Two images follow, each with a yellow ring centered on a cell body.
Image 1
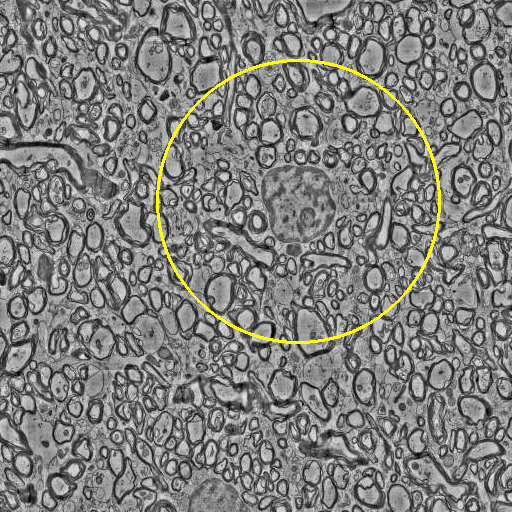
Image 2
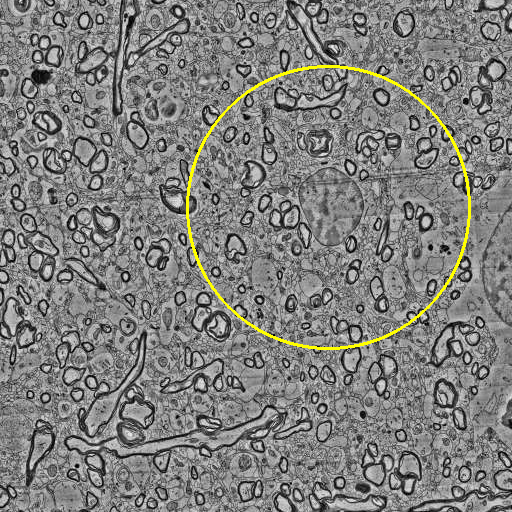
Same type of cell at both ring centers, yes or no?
yes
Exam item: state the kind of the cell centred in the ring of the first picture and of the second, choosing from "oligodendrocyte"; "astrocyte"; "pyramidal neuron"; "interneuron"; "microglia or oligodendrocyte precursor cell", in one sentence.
Each of the two rings is centred on a microglial cell or oligodendrocyte precursor cell.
